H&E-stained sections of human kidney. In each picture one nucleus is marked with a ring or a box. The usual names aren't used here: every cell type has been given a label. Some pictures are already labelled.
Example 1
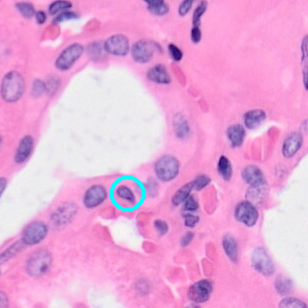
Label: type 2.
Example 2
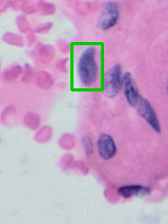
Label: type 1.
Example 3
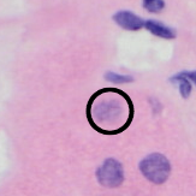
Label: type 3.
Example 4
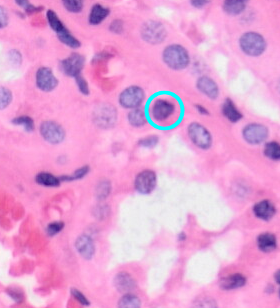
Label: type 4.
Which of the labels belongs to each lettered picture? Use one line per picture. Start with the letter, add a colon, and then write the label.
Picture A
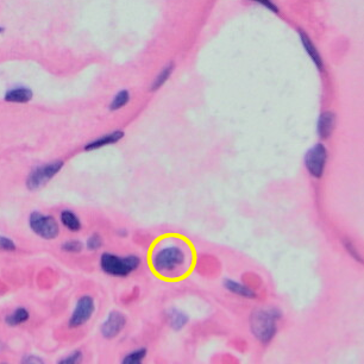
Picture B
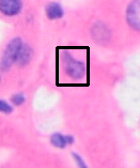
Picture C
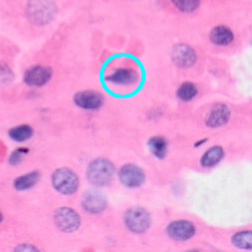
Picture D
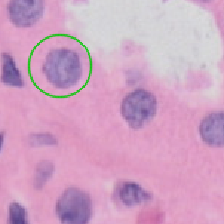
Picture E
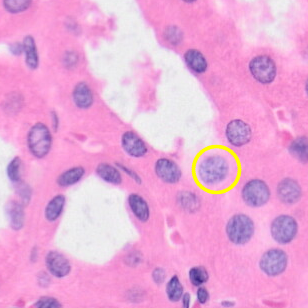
A: type 1.
B: type 3.
C: type 1.
D: type 4.
E: type 4.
